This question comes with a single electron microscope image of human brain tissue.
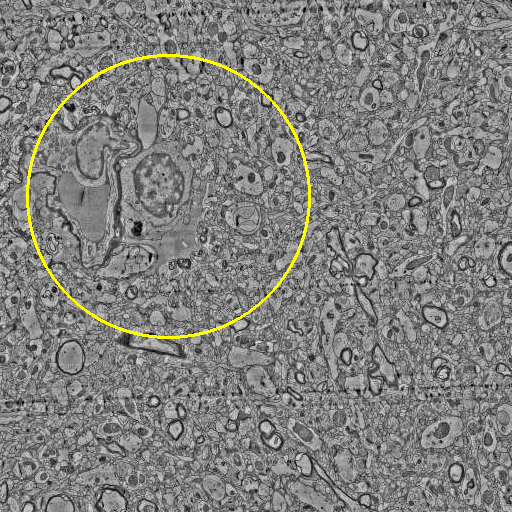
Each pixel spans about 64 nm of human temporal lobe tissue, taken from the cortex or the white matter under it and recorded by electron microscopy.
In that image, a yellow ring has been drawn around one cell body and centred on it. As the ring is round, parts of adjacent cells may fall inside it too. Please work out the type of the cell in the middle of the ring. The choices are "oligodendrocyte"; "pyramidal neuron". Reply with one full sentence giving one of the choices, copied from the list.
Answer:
Of the choices, an oligodendrocyte is the cell sitting in the middle of the ring.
